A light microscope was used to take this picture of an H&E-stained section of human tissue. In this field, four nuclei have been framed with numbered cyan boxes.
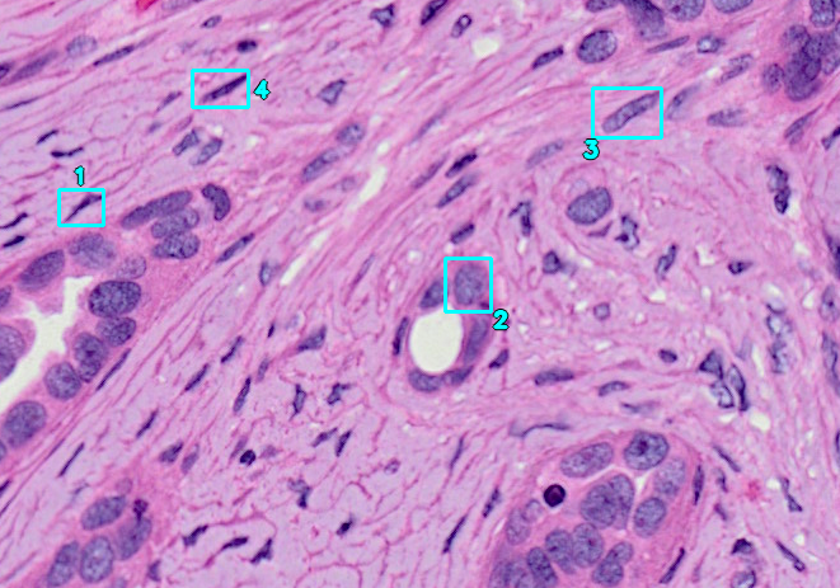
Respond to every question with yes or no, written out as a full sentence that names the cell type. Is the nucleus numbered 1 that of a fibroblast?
Yes. The cell carrying number 1 is a fibroblast.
